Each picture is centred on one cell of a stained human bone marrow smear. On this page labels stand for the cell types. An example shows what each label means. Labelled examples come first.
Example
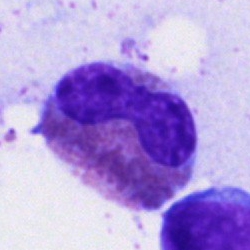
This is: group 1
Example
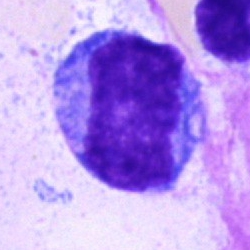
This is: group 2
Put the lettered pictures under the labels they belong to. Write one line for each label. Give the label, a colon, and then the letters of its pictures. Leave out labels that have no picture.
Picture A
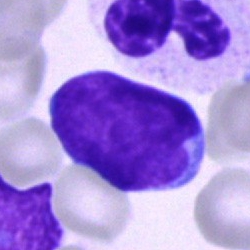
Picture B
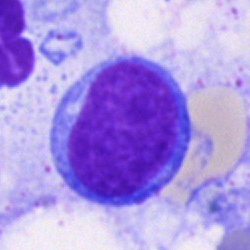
group 2: A, B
